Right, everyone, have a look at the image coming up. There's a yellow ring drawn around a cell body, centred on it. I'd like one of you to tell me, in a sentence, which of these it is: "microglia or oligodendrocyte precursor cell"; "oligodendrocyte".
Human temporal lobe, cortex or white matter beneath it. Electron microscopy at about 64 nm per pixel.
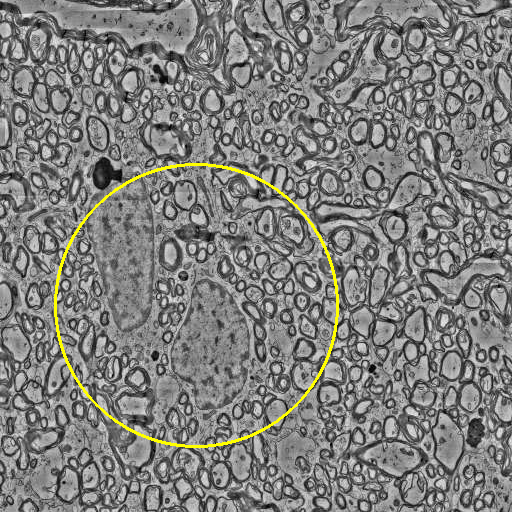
The yellow ring sits on a microglial cell or oligodendrocyte precursor cell.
